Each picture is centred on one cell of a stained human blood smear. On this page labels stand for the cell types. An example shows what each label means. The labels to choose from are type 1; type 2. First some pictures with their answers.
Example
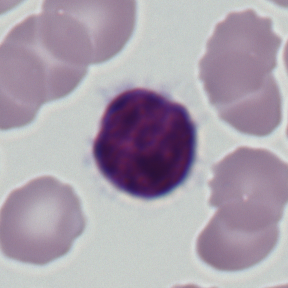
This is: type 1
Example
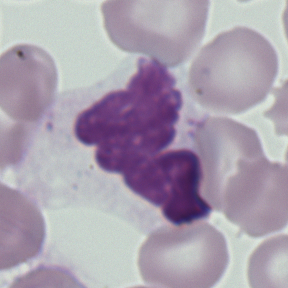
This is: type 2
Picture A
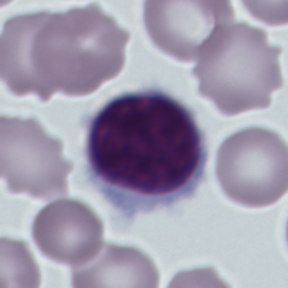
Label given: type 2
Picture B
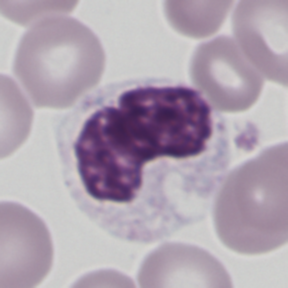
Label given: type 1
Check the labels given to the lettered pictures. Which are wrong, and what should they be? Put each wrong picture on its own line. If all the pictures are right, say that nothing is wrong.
Wrong: A (type 2); correct: type 1
Wrong: B (type 1); correct: type 2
